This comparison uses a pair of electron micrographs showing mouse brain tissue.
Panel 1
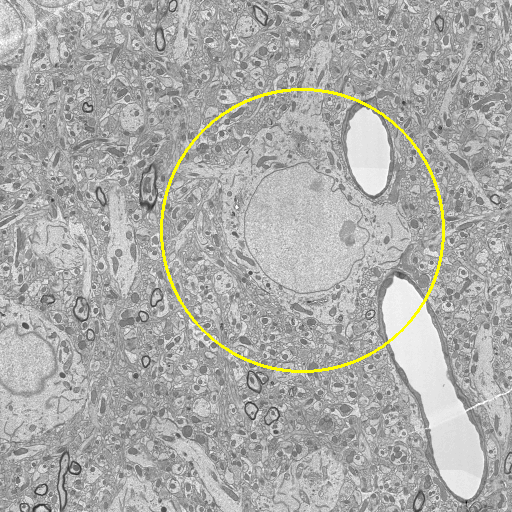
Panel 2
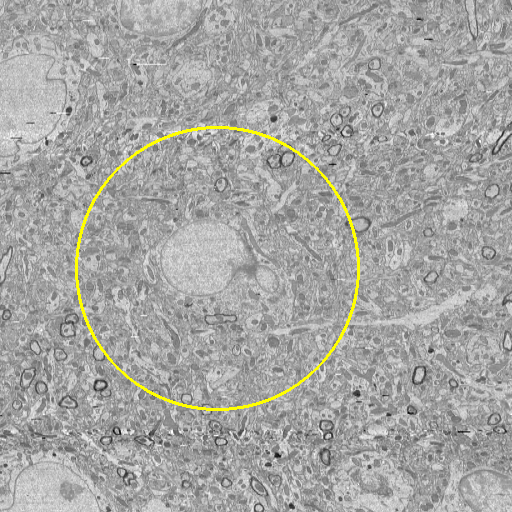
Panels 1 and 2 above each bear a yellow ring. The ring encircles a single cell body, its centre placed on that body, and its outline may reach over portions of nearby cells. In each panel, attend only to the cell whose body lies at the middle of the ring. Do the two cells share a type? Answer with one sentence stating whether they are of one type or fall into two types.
In Panel 1 and Panel 2, the cells at the centres of the rings fall into two types.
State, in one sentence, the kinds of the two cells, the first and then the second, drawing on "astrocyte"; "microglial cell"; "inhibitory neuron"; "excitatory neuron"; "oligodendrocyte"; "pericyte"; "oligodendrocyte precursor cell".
The ring in the second picture is centred on an astrocyte, the ring in the first on an excitatory neuron.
